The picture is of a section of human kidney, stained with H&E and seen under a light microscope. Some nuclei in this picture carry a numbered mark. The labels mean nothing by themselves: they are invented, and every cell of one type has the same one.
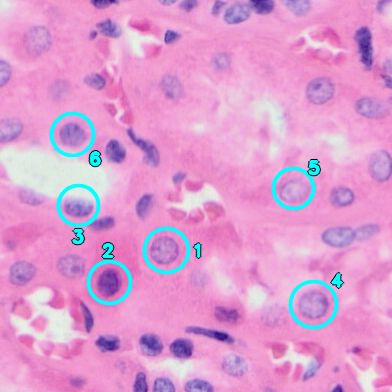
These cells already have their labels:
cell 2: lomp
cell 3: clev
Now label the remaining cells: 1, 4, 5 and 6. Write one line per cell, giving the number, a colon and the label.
1: lomp
4: lomp
5: lomp
6: clev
